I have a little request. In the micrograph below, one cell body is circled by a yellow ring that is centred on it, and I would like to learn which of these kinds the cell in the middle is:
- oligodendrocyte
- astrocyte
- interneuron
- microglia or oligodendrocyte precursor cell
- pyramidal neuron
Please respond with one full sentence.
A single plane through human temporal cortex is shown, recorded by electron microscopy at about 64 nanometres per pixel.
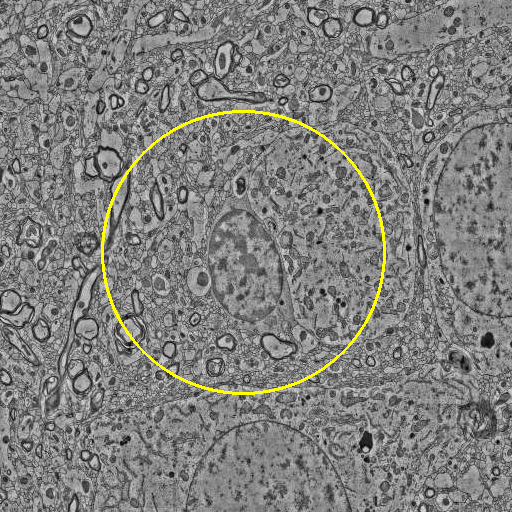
The cell sitting in the middle of the yellow ring in the micrograph is an oligodendrocyte.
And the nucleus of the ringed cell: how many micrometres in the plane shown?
Clearly longer than it is wide in this plane, the nucleus measures roughly 7 by 5 micrometres.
